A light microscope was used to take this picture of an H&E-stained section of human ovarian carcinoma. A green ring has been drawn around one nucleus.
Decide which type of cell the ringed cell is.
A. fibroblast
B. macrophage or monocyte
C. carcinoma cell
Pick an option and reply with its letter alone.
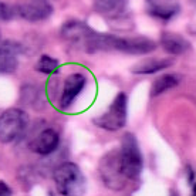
B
